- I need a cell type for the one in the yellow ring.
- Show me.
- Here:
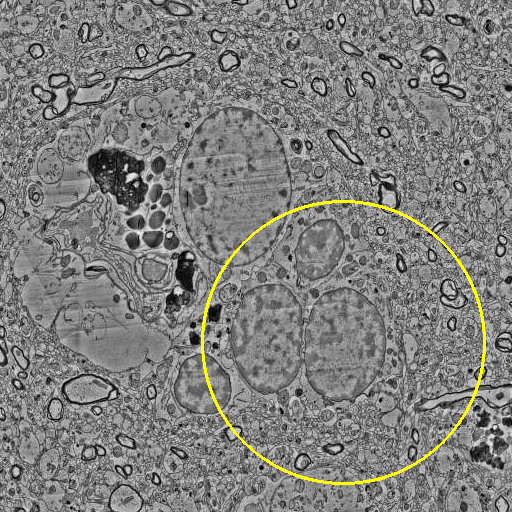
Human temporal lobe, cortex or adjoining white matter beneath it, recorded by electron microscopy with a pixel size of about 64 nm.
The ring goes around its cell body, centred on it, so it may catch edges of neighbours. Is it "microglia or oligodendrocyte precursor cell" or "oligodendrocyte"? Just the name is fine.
oligodendrocyte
